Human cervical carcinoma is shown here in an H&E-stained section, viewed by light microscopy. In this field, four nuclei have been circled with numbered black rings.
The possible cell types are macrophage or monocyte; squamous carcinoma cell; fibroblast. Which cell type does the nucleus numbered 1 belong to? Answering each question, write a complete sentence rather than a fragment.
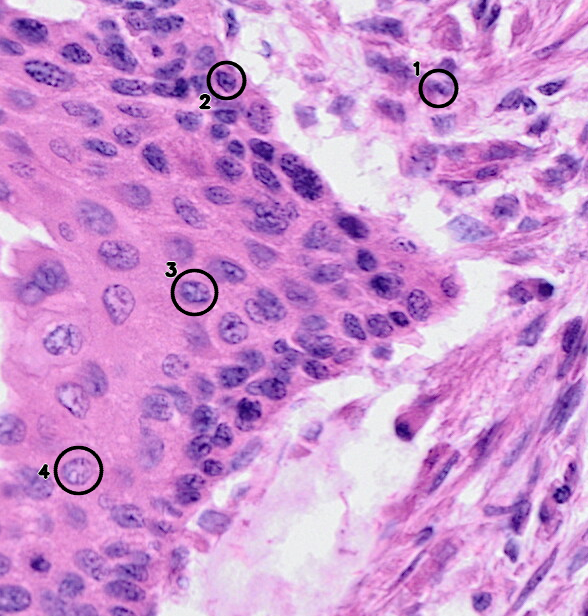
The marked cell with the number 1 is recognised as a fibroblast.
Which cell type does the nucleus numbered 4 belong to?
The cell whose nucleus carries the number 4 is a squamous carcinoma cell.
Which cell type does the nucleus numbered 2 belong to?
Recognised here as a squamous carcinoma cell is the cell numbered 2.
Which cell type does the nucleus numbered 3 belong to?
The marked nucleus 3 is that of a squamous carcinoma cell.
